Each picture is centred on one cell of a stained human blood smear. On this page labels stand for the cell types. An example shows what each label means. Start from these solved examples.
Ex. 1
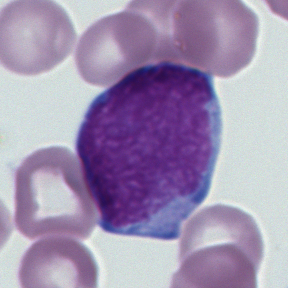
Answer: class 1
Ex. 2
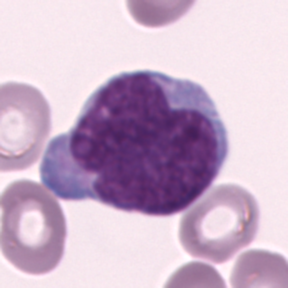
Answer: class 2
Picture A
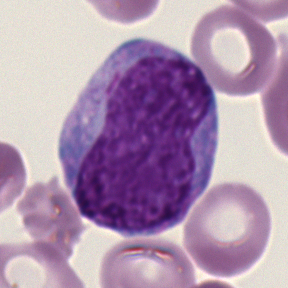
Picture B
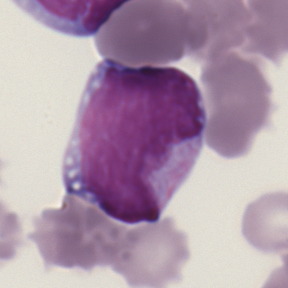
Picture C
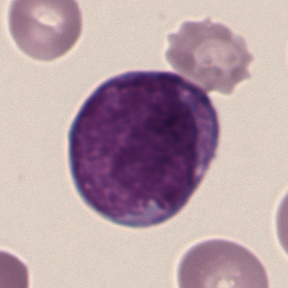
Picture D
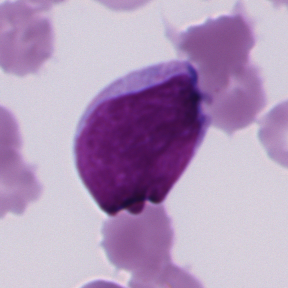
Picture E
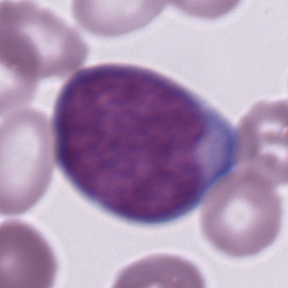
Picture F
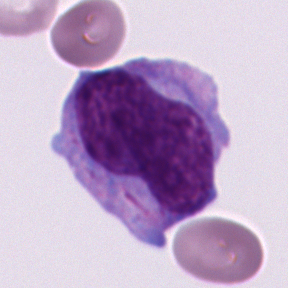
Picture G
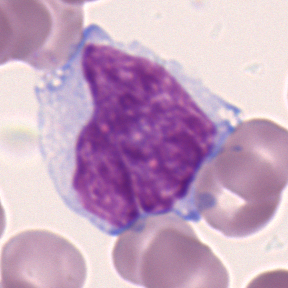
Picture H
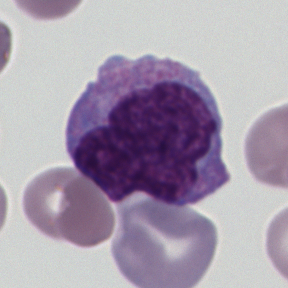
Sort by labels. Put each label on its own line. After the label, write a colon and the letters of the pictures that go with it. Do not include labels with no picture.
class 1: B, D, E, G
class 2: A, C, F, H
